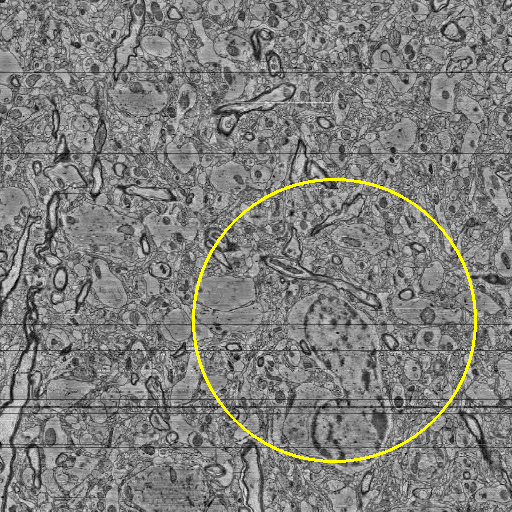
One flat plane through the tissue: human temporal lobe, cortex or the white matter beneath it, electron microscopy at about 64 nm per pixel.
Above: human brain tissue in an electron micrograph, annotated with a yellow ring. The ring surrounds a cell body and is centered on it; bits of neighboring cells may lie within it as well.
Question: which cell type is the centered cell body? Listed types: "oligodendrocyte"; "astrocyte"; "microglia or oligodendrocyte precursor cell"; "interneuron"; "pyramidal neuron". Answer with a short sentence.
The centered cell body is a microglial cell or oligodendrocyte precursor cell.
